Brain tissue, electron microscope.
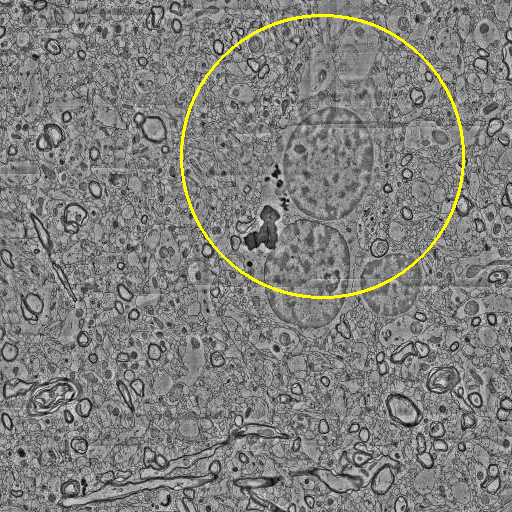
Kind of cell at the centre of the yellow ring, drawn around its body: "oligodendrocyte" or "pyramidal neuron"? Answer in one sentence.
The ring's centre falls on an oligodendrocyte.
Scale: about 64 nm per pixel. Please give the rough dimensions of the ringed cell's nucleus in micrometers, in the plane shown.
About 7 by 6 micrometers for the nucleus, in this plane.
